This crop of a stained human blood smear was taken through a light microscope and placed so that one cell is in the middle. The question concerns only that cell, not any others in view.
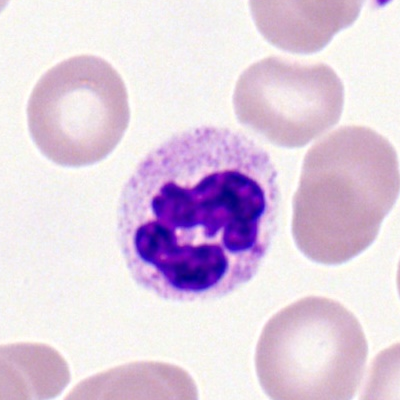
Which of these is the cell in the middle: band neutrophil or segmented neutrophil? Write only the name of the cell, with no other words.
segmented neutrophil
